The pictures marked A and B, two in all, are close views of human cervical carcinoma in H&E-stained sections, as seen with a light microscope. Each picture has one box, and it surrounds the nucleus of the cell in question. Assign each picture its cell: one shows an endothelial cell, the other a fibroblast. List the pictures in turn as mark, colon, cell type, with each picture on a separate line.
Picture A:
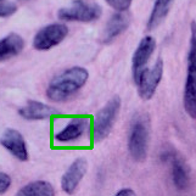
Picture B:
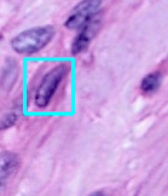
A: fibroblast
B: endothelial cell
